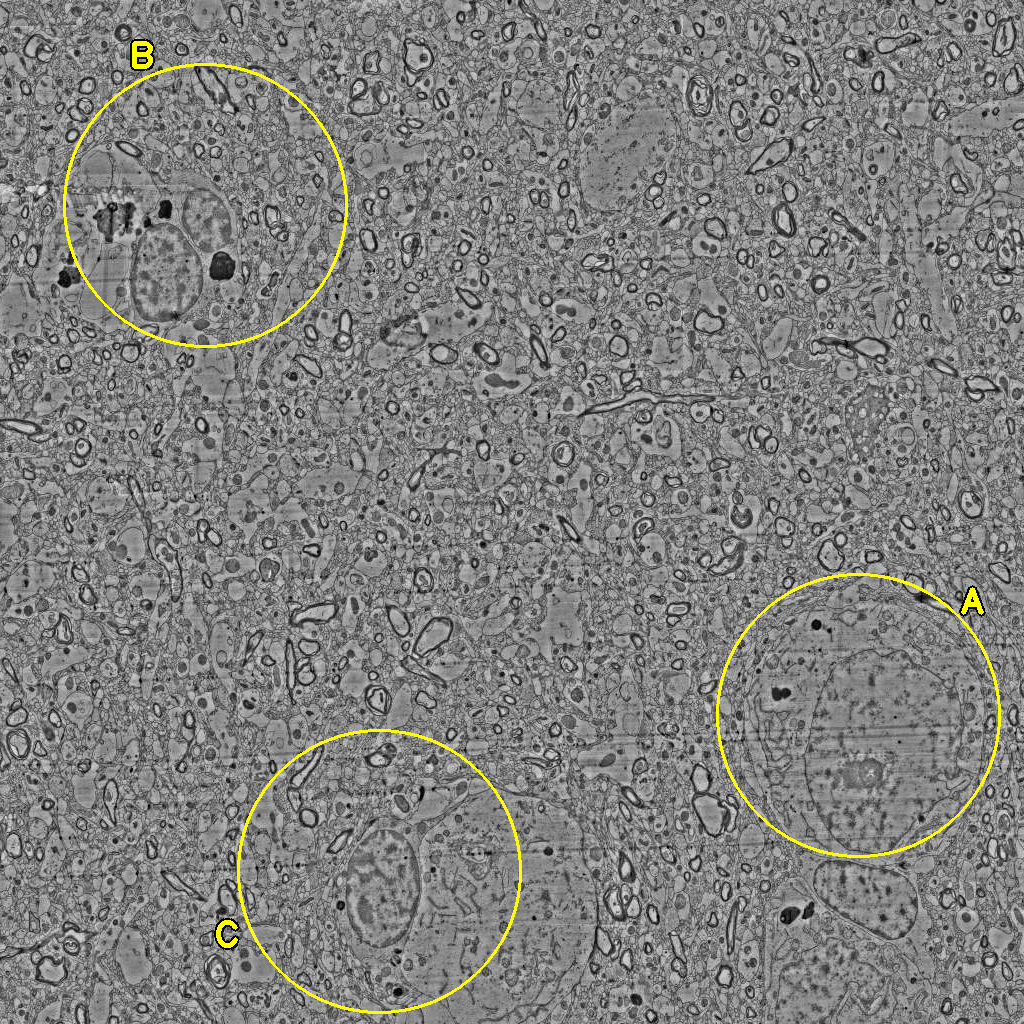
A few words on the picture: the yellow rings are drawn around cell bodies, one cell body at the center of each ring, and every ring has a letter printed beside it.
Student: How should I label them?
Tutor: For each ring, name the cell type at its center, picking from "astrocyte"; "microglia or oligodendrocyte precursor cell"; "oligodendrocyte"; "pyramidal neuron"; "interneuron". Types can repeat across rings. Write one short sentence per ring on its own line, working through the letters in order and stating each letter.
In ring A, the central cell is a pyramidal neuron.
In ring B, the central cell is an oligodendrocyte.
In ring C, the central cell is an oligodendrocyte.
